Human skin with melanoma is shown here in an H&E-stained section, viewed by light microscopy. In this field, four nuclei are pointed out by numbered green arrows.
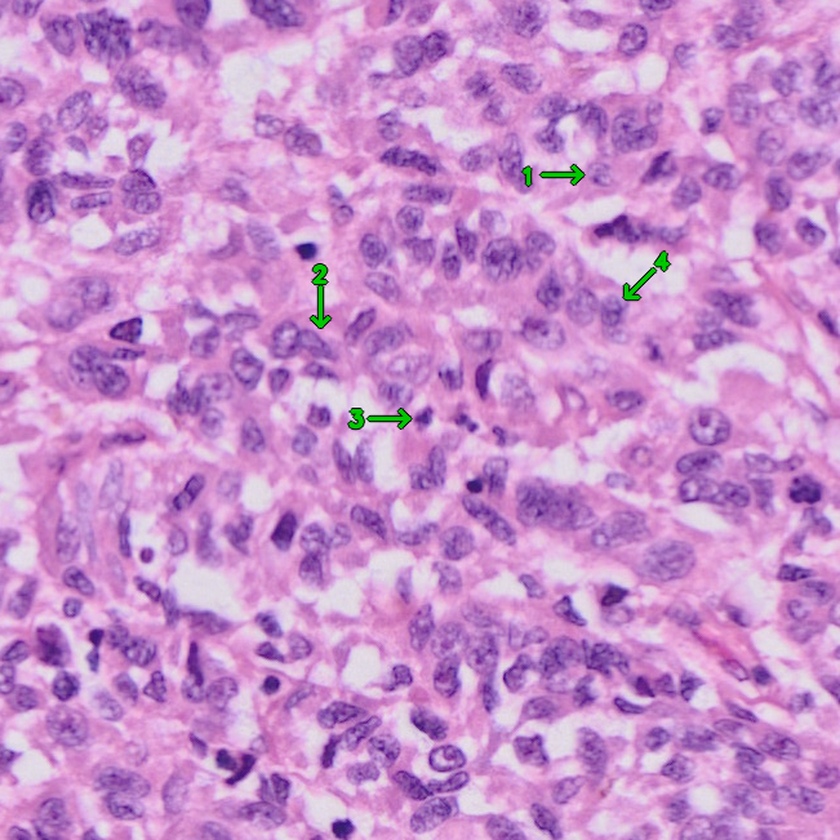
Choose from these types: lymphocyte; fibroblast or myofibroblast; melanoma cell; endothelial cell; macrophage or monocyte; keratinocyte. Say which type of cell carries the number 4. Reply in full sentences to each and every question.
The nucleus marked 4 is the nucleus of a melanoma cell.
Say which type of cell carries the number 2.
What the number 2 marks in this field is a melanoma cell.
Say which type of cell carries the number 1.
The label 1 in this section denotes a melanoma cell.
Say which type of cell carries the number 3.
The cell that carries the label 3 is a lymphocyte.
